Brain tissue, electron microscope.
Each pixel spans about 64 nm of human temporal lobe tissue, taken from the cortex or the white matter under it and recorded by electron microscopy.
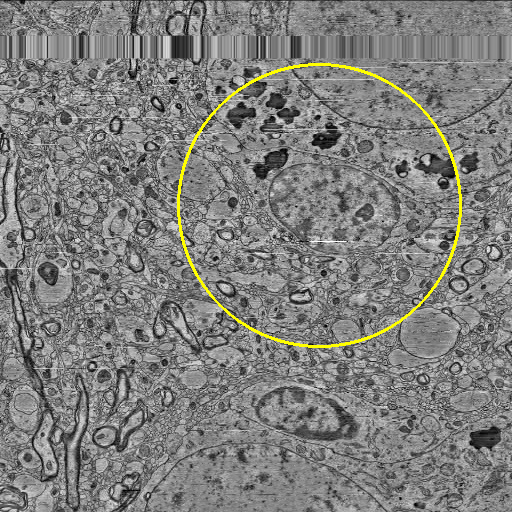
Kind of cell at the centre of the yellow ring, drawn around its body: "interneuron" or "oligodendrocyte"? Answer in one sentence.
The ring's centre falls on an oligodendrocyte.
